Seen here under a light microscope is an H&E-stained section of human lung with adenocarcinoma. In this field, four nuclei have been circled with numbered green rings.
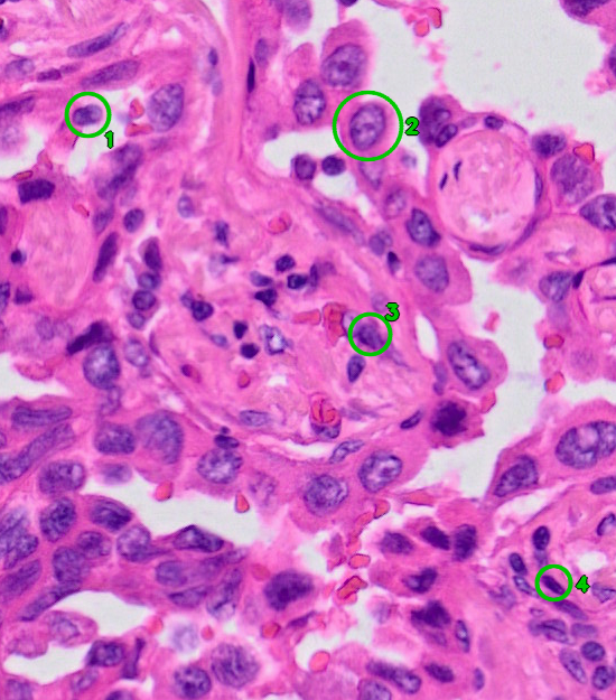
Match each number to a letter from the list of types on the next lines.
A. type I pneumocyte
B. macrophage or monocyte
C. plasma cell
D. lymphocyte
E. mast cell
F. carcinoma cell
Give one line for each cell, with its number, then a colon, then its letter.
1: D
2: F
3: C
4: C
